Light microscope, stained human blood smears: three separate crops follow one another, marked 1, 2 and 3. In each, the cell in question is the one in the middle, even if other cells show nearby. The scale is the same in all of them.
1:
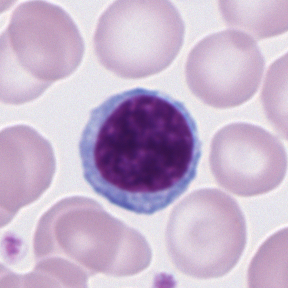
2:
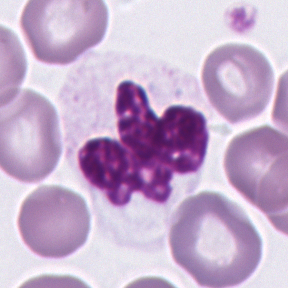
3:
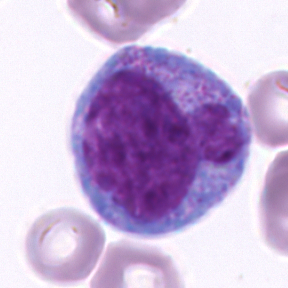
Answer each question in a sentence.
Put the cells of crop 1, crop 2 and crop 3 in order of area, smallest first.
The order is 1, 2, 3, beginning with the smallest.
